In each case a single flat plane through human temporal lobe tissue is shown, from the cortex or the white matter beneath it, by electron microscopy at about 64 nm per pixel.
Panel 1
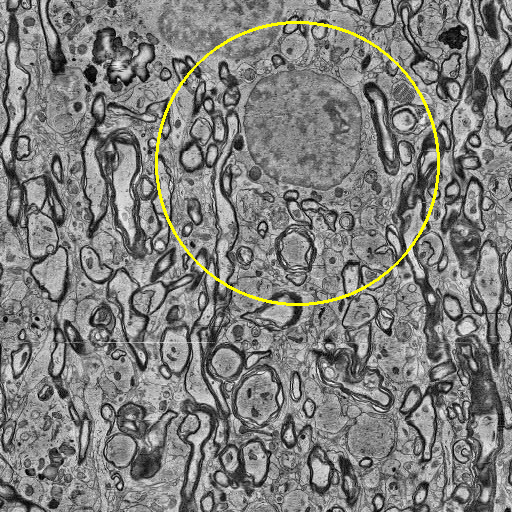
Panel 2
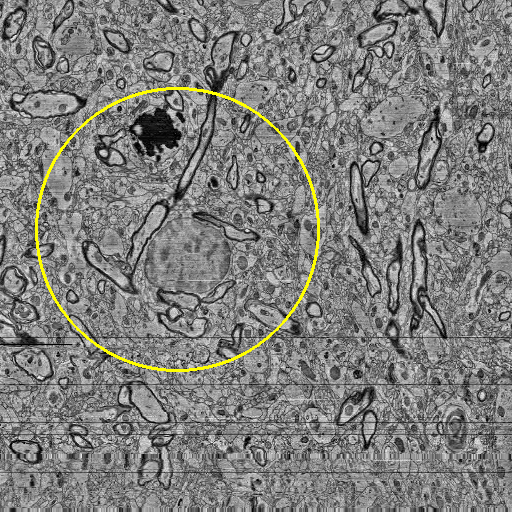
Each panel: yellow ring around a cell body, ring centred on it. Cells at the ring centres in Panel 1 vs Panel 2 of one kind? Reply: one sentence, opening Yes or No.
Yes, Panel 1 and Panel 2 have cells of one kind at the ring centres.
